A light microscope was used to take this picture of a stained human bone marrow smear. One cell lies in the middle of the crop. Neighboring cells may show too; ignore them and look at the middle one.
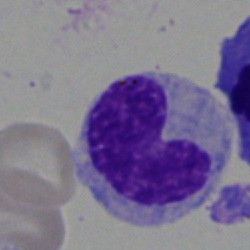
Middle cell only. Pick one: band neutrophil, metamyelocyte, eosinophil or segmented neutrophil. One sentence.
Seen at the centre of the crop is a band neutrophil.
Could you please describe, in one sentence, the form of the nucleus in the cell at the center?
Just one compact nuclear mass here, round, oval or kidney-shaped.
